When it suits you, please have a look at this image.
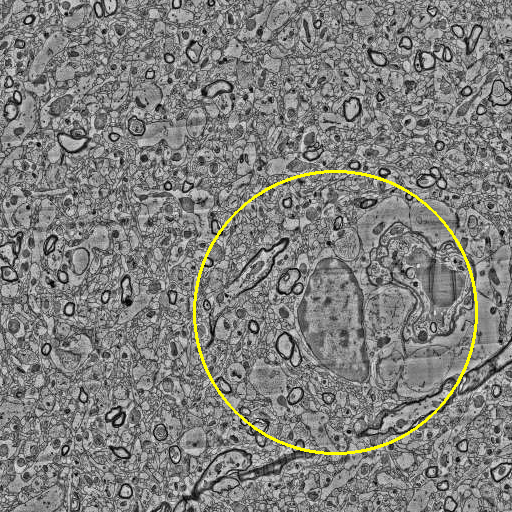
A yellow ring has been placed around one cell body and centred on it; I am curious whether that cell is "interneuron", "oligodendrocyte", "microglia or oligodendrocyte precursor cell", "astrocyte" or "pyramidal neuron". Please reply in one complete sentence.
The ringed cell, a microglial cell or oligodendrocyte precursor cell, has its body at the centre of the yellow ring.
